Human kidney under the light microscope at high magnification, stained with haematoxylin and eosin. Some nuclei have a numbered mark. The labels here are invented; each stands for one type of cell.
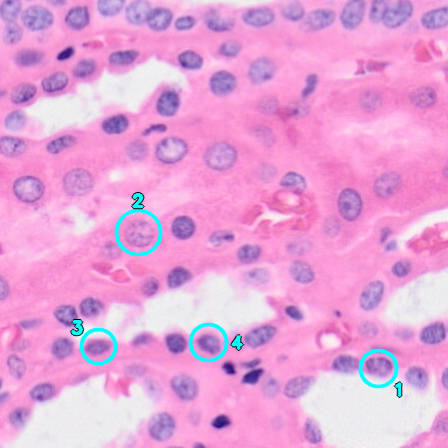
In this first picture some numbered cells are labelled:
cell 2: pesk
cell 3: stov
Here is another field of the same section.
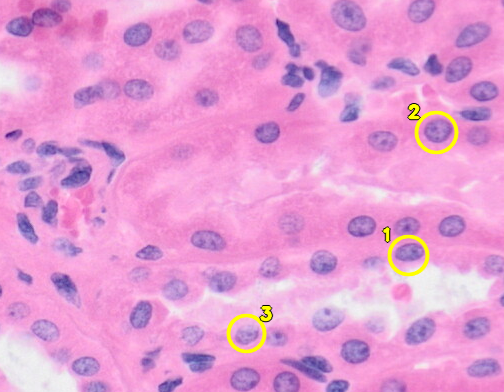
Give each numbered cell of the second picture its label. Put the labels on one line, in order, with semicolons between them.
stov; pesk; stov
